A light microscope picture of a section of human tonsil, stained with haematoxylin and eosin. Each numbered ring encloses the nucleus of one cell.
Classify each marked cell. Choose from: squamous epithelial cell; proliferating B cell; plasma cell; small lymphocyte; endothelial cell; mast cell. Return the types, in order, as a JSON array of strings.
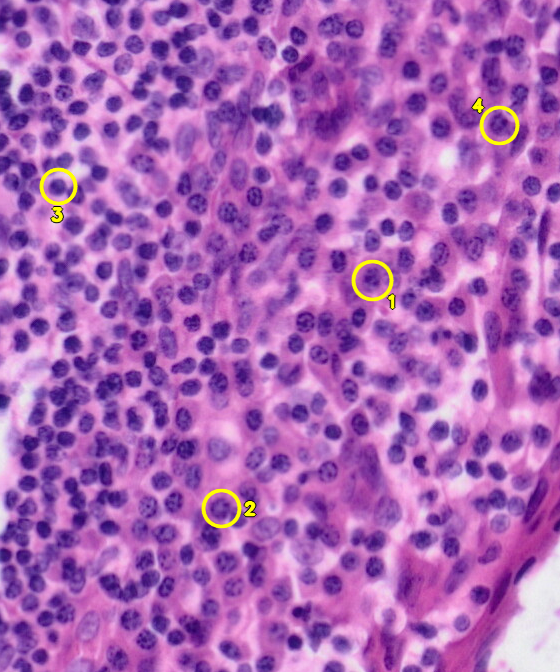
["plasma cell", "plasma cell", "small lymphocyte", "plasma cell"]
